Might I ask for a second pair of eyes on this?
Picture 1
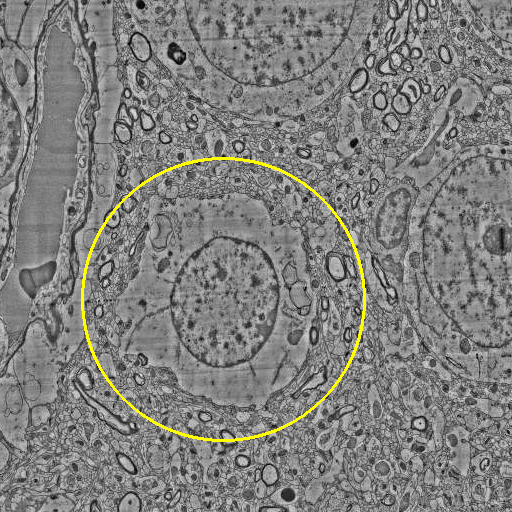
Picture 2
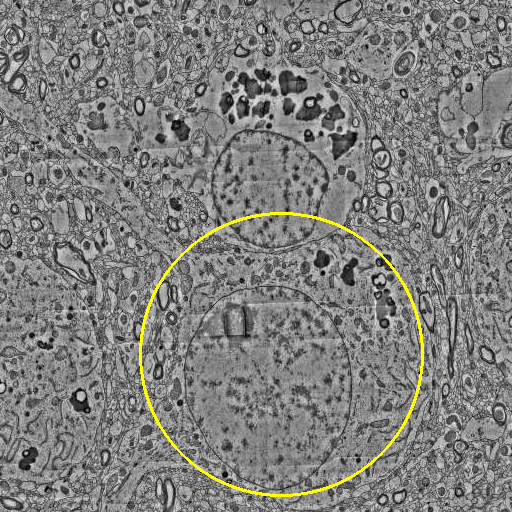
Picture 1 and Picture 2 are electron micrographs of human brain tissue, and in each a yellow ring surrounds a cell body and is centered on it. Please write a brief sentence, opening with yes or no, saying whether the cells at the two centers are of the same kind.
No, the cells are of two kinds.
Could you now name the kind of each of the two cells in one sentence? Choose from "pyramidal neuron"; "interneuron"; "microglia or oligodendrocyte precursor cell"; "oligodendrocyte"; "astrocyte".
The first ring encloses an astrocyte; the second ring encloses a pyramidal neuron.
